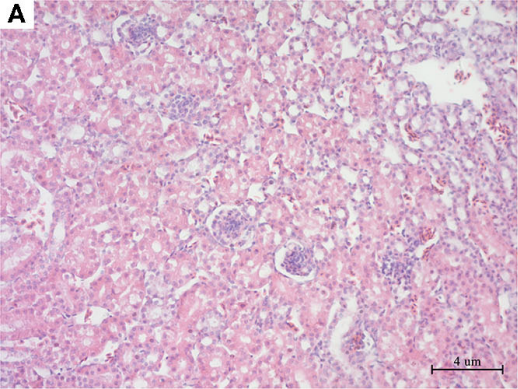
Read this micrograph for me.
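This is kidney cortex with glomeruli set among convoluted tubules. The tubules, cut mostly in cross section, are lined by cuboidal cells with pink granular cytoplasm and round purple nuclei. Many tubules show open lumens. Small vessels with red blood cells lie in the narrow spaces between tubules.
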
